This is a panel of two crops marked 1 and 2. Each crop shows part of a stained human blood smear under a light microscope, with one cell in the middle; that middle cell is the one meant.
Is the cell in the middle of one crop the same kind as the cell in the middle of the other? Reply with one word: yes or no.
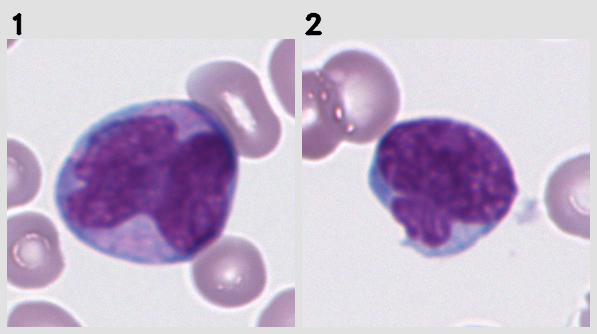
no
